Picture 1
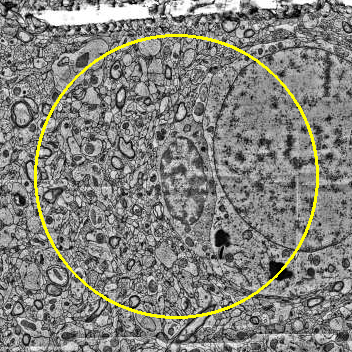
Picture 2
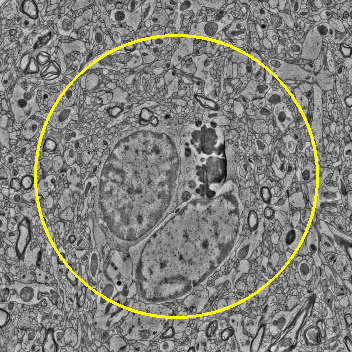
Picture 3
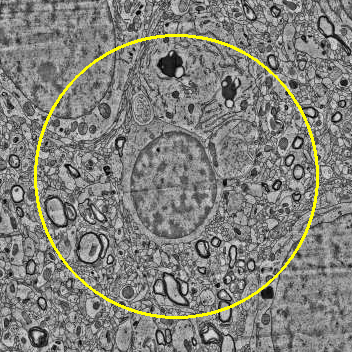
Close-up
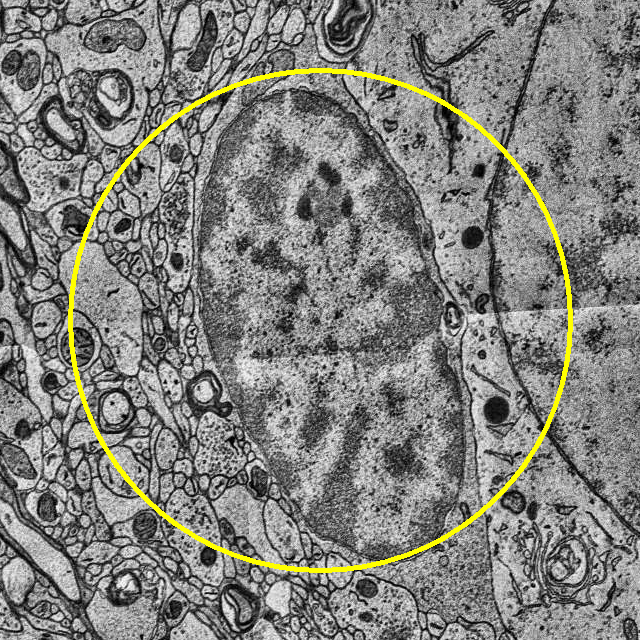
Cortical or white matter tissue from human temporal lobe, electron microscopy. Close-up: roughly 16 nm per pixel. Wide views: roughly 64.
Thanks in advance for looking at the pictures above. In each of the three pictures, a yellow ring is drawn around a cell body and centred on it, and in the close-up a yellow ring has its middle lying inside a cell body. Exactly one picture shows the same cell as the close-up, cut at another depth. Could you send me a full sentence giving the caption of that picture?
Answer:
The enlarged cell is the same one ringed in Picture 1.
